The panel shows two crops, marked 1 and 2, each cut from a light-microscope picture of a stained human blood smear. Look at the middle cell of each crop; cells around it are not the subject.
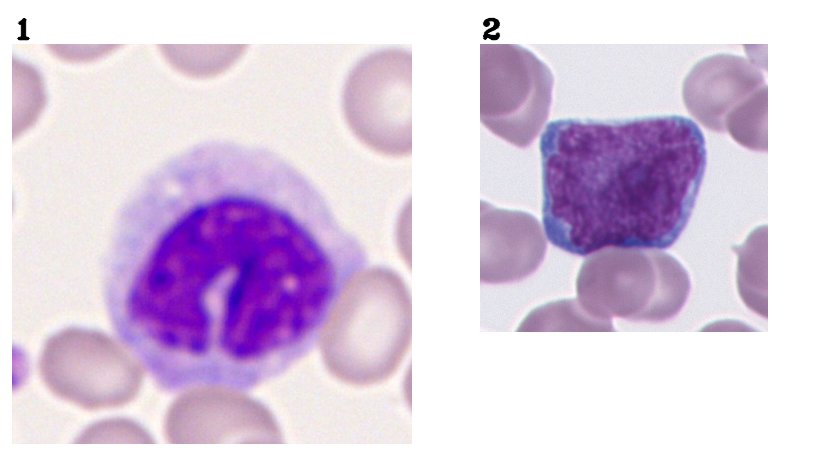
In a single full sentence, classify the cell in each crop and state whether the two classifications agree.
No, it is crop 1 that shows a monocyte, and crop 2 shows a blast.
